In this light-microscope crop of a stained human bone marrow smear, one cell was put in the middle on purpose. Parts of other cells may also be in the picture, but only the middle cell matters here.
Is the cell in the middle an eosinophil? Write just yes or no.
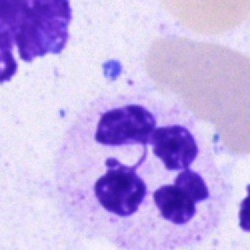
no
